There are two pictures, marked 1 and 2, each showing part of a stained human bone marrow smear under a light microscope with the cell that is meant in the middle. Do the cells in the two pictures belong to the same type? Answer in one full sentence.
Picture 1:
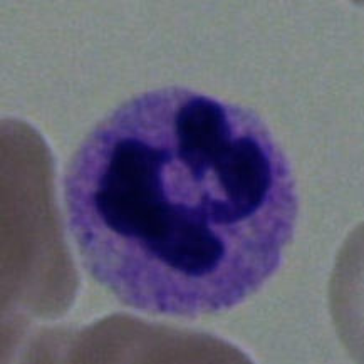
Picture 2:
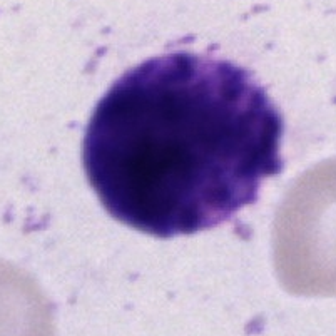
No; the cell in picture 1 is a segmented neutrophil, while the one in picture 2 is a basophil.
